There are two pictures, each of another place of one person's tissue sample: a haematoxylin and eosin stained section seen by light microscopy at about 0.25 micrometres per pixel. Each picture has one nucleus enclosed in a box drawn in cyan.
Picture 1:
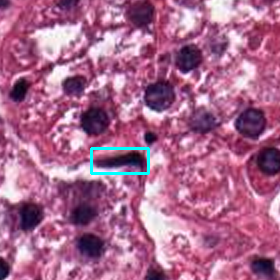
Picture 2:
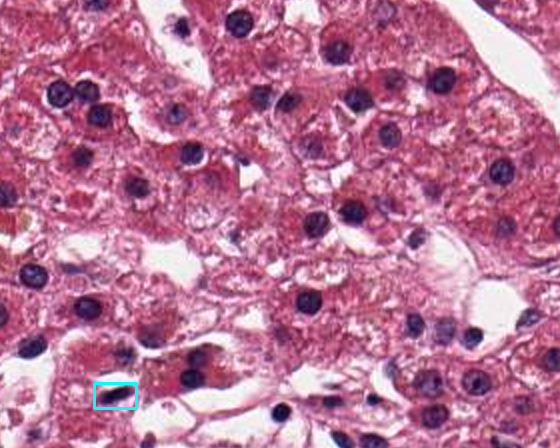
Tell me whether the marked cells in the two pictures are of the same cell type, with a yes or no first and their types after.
Yes, both are endothelial cells.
